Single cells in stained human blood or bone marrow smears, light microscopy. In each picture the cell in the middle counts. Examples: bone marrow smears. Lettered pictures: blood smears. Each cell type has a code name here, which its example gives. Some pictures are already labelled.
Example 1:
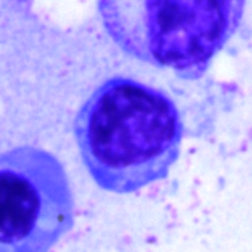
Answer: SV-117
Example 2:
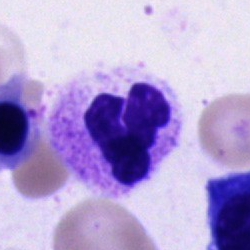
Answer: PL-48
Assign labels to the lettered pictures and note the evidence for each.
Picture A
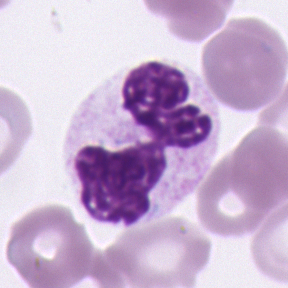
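PL-48. Reason: The nucleus forms an upper mass and a lower mass joined by a narrower part.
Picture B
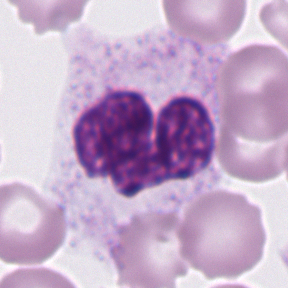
PL-48. Reason: The cytoplasm is abundant and very pale, almost colourless.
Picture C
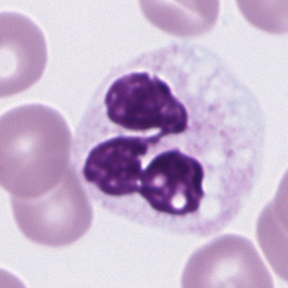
PL-48. Reason: The nucleus is divided into three separate lobes.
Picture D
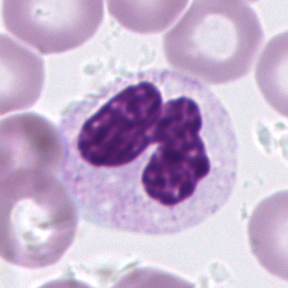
PL-48. Reason: The cytoplasm forms a wide rim around the nucleus.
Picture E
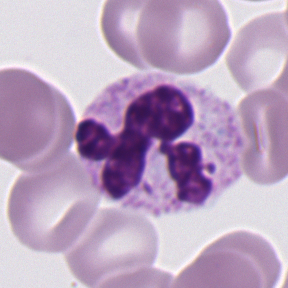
PL-48. Reason: The nucleus has at least three lobes.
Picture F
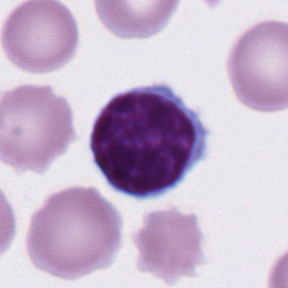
SV-117. Reason: The cytoplasm shows as a thin rim mainly along the right side of the cell.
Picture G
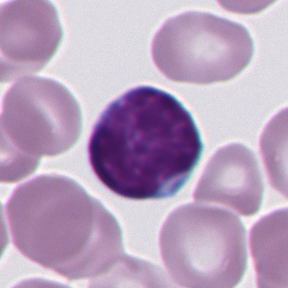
SV-117. Reason: The cytoplasm is scant, showing only as a thin crescent at the lower right of the nucleus.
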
